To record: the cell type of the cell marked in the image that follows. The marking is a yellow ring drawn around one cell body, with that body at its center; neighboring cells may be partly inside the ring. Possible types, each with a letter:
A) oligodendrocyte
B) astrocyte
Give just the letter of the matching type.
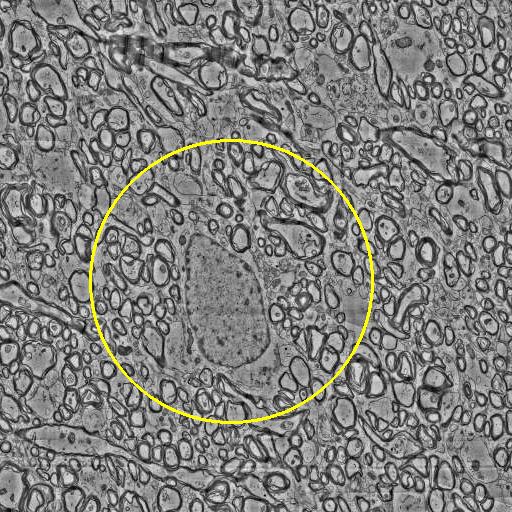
B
